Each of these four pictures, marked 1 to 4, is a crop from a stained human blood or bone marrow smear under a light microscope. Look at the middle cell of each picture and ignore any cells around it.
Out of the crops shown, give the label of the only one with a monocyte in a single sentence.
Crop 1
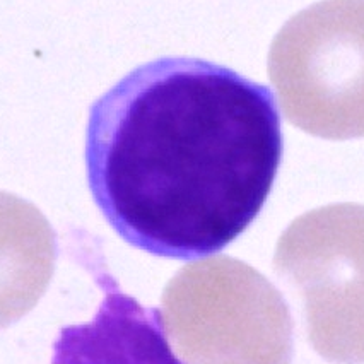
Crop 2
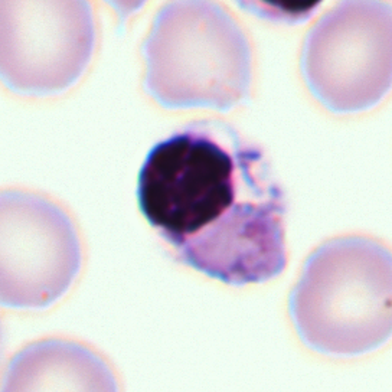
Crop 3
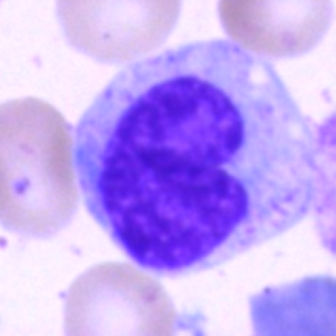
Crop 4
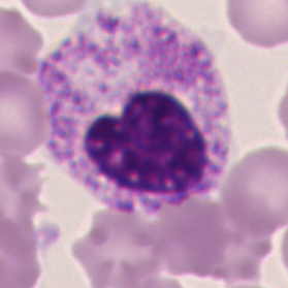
The crop with a monocyte in it is crop 3.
